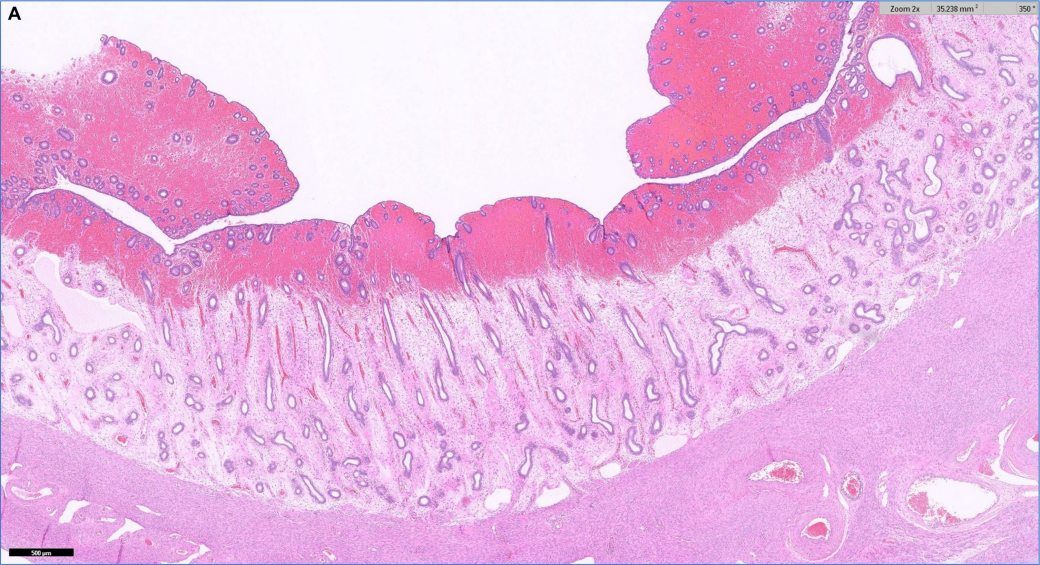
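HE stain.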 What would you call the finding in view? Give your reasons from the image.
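A broad band of deep red, blood-filled tissue occupies the superficial mucosa. Glands are embedded within the red band. On this evidence: hemorrhage.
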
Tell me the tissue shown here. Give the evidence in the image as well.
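Uterus. A glandular mucosa lies over a thick layer of smooth muscle. Tubular glands run perpendicular to the surface through a loose stroma.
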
